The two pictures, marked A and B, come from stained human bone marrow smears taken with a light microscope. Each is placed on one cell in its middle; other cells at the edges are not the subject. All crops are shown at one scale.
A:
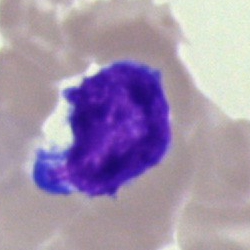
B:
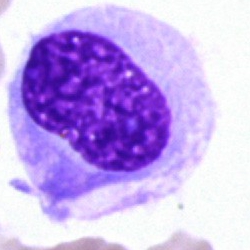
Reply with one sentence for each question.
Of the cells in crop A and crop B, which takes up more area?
It is the cell in crop B, about 2.5 times as large in area as the cell in crop A.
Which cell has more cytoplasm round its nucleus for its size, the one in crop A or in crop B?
The nucleus fills less of the cell in crop B than in crop A.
